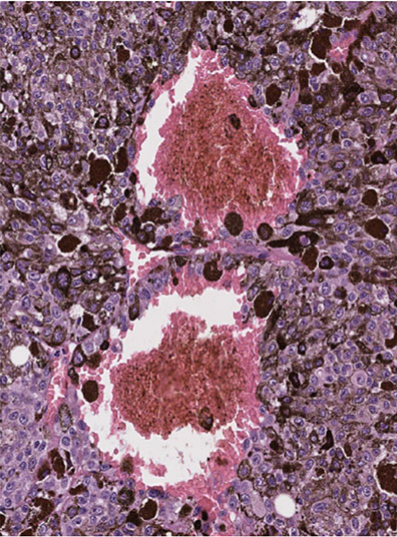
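This is melanoma tissue with two large blood-filled spaces, vascular lakes, among densely packed tumour cells. The spaces are filled with pink-red red blood cells and have no flat lining layer along their edges. Tumour cells border the spaces directly, and some lie at their margins as if spreading into them. The tumour cells have round to oval nuclei with purple chromatin, and many are filled with dark brown to black pigment. Scattered small clear round vacuoles are seen in the tissue.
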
